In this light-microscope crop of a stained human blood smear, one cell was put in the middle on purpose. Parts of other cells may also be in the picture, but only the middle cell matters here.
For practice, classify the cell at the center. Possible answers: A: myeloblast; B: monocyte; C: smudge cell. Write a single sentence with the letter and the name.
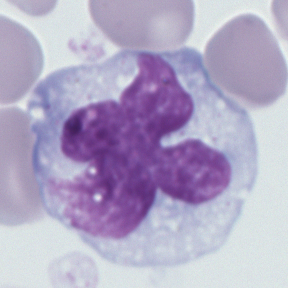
The central cell in this crop is a monocyte, corresponding to option B, the correct option.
